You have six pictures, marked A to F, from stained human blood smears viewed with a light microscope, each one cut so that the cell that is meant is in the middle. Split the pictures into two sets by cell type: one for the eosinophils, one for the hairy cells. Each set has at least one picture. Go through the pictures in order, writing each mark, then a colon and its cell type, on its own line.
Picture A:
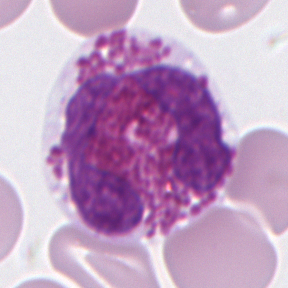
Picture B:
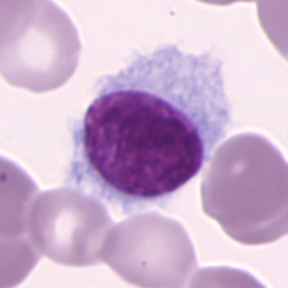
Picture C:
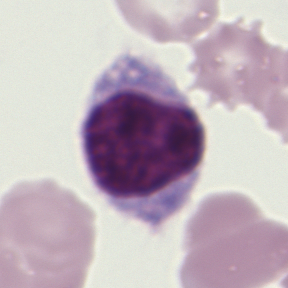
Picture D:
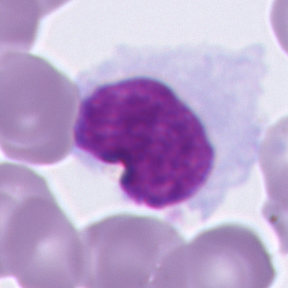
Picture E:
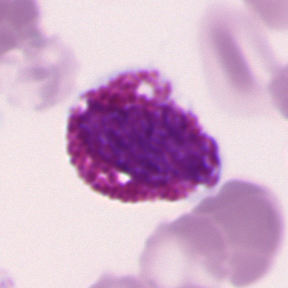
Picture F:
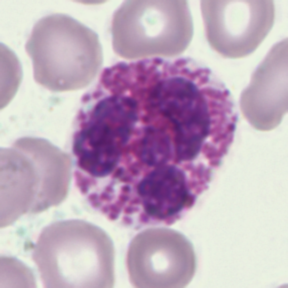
A: eosinophil
B: hairy cell
C: hairy cell
D: hairy cell
E: eosinophil
F: eosinophil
